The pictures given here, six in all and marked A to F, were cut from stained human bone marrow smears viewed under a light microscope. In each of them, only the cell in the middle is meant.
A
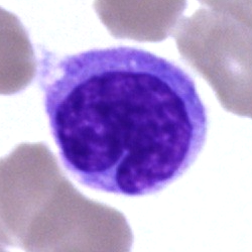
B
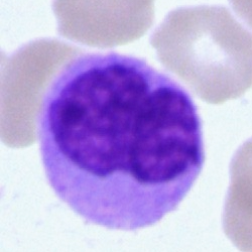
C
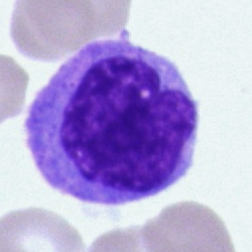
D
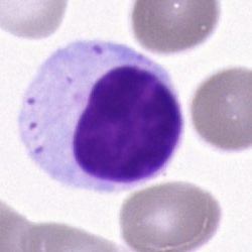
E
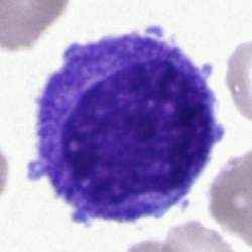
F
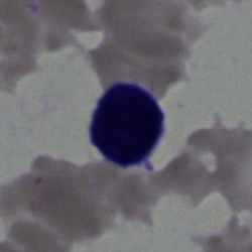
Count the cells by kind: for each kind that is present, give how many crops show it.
monocyte: 3
lymphocyte: 2
promyelocyte: 1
